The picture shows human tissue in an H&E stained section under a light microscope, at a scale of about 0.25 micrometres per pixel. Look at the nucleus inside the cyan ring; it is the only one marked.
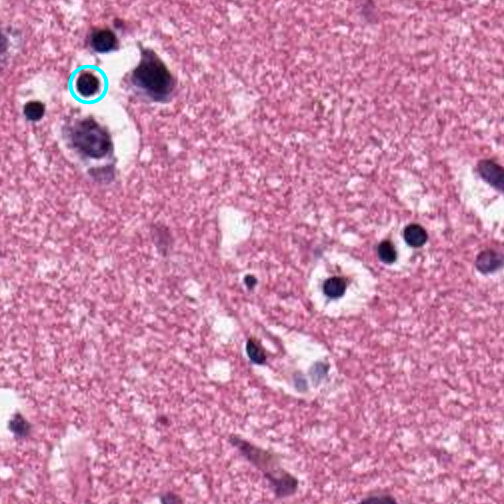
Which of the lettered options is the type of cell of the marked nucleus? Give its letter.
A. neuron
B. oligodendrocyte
B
